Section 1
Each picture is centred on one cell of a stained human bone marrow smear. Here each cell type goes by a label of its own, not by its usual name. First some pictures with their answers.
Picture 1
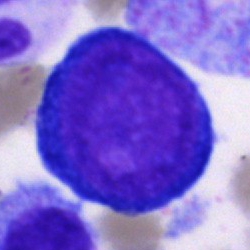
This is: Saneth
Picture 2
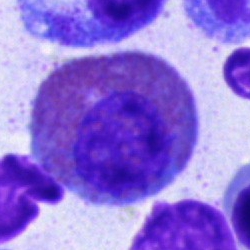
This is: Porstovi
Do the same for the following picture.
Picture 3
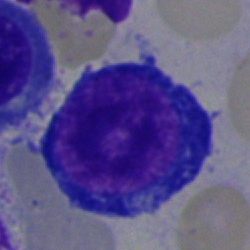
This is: Saneth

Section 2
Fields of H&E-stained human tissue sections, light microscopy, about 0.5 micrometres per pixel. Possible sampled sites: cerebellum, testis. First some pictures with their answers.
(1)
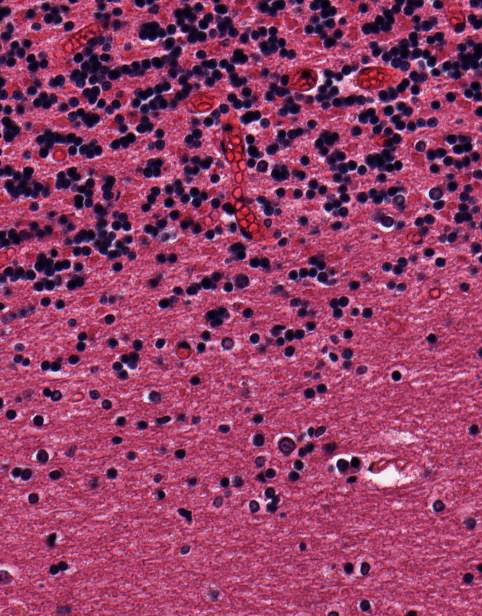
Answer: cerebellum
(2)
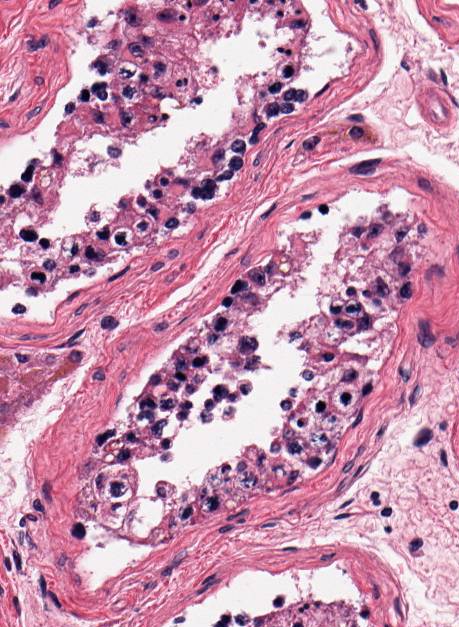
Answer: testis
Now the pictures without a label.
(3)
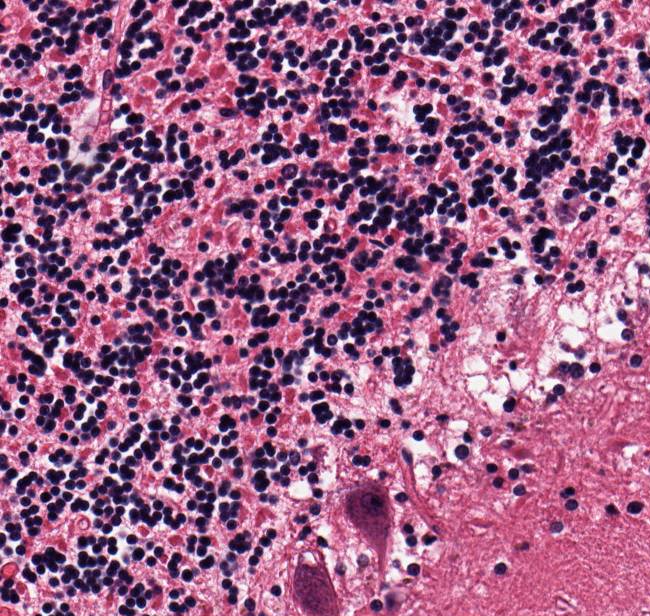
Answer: cerebellum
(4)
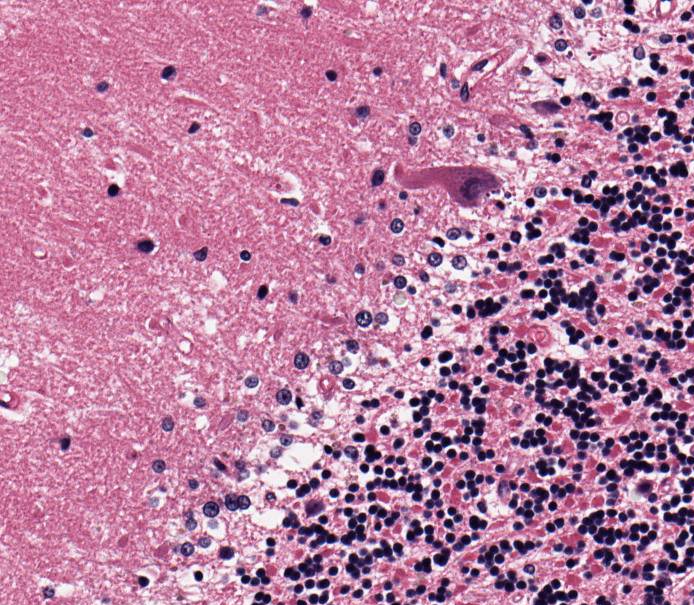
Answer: cerebellum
